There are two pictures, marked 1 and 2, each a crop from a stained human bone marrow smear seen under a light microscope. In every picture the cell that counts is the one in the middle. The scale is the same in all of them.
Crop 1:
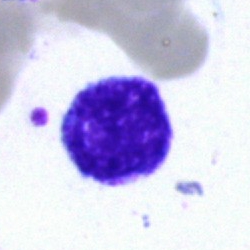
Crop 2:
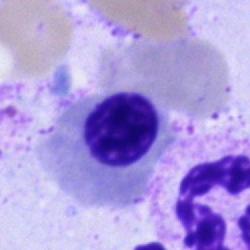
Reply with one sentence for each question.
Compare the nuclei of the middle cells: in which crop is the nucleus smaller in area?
Smaller is the nucleus in crop 2, and the other is about 2 times as large in area.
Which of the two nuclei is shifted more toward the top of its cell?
It is the nucleus in crop 2 that lies further toward the top of its cell.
